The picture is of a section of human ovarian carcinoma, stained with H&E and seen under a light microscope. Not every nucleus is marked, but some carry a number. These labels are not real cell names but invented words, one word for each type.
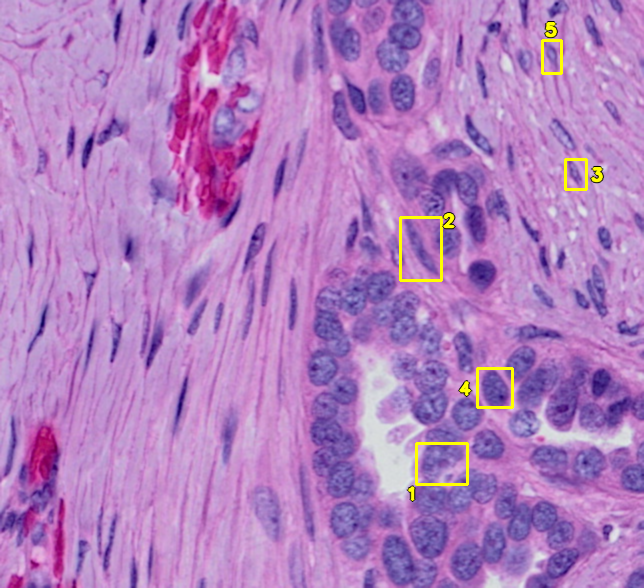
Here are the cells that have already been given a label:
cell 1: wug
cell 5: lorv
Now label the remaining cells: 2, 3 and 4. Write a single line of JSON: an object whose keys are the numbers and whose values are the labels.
{"2": "lorv", "3": "lorv", "4": "wug"}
